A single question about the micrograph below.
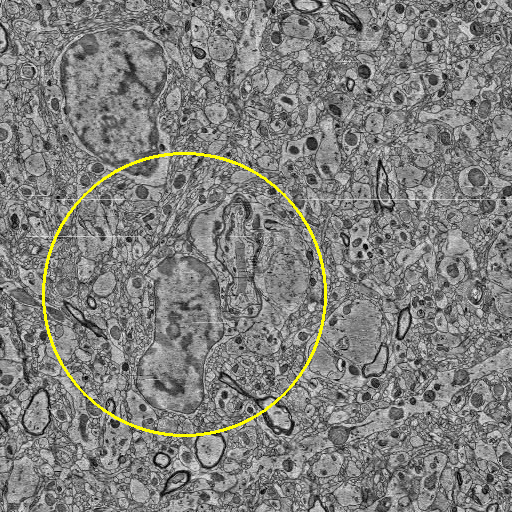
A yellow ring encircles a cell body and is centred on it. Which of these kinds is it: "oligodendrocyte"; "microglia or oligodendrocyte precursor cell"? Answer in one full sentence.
The cell body at the centre of the yellow ring belongs to a microglial cell or oligodendrocyte precursor cell.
